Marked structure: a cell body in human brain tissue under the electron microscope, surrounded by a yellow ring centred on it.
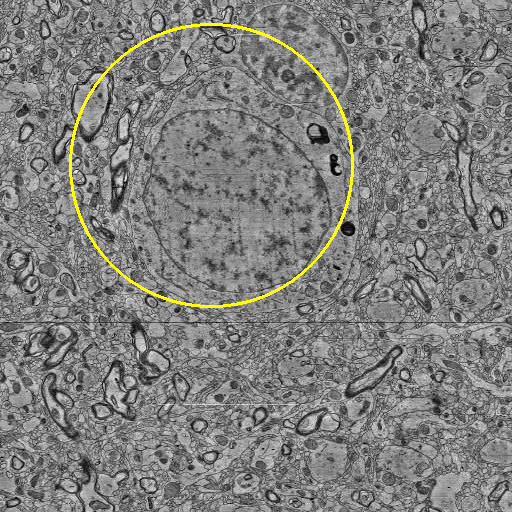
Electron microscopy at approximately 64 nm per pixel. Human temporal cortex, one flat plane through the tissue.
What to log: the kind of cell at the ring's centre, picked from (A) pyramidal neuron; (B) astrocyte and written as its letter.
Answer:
A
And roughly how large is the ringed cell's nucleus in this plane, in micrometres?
Roughly 13 by 11 micrometres in this plane, for the nucleus of the ringed cell.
